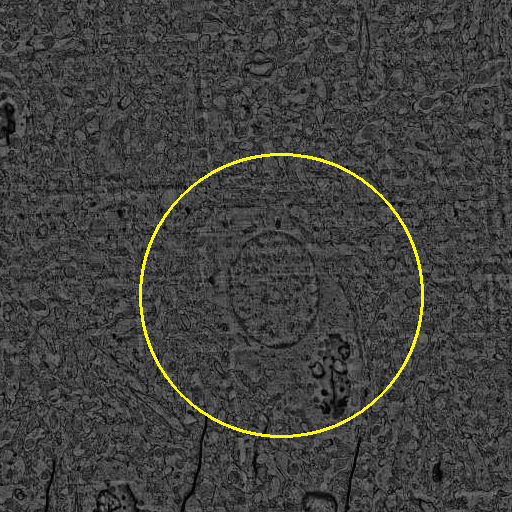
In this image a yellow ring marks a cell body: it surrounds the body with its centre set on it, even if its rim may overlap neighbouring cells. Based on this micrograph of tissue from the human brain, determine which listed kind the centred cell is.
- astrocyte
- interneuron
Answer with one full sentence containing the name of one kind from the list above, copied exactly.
It is an astrocyte whose body the yellow ring encloses at its centre.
